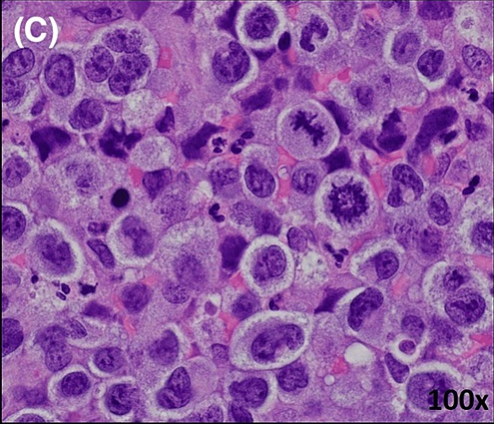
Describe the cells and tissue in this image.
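This is a high-power view of a lymphoma made of large pleomorphic cells lying in a sheet. Around the nuclei there is a generous rim of pink-violet cytoplasm. Several cells are in mitosis, with condensed chromosomes gathered into plates or rosettes, and small dense dark fragments of apoptotic bodies lie scattered between them.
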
